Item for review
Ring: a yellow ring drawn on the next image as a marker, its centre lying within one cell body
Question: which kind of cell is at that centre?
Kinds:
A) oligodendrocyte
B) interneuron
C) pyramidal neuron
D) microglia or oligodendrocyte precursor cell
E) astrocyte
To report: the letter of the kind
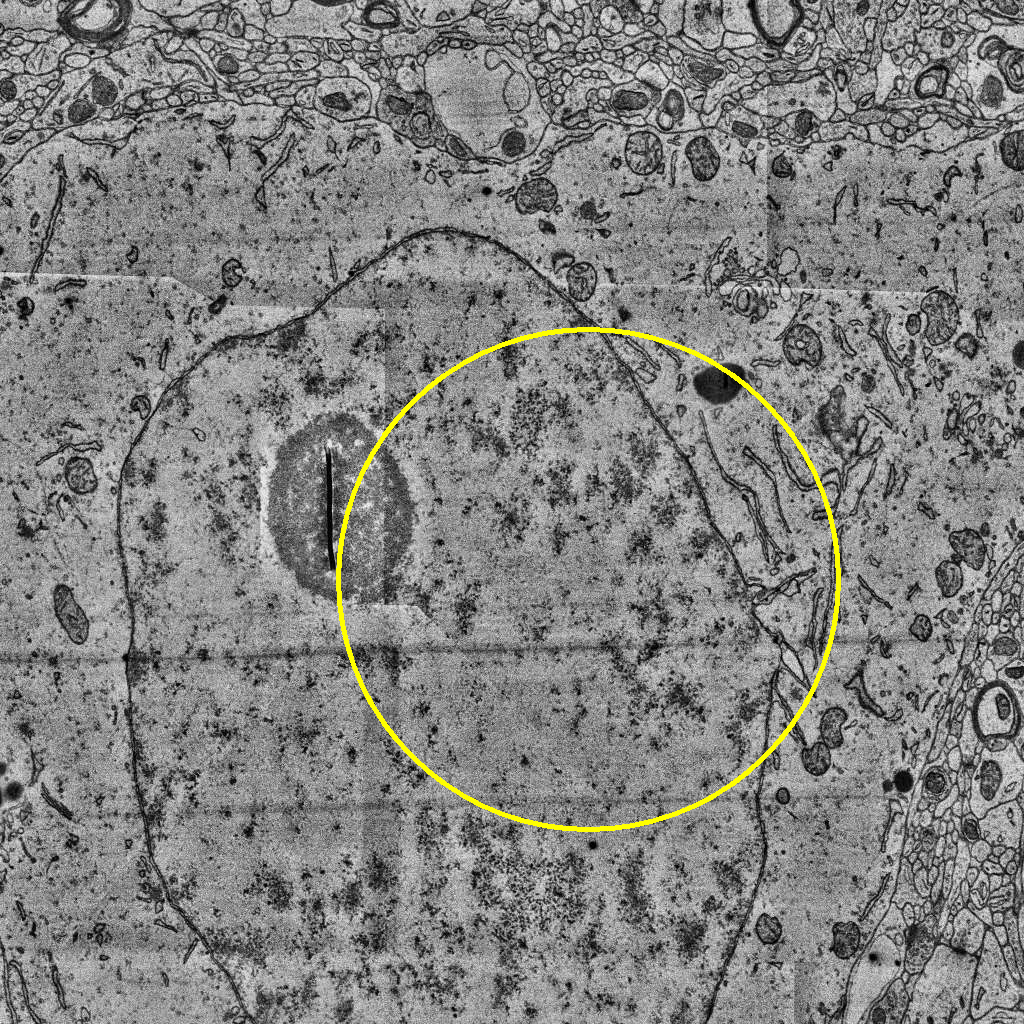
C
